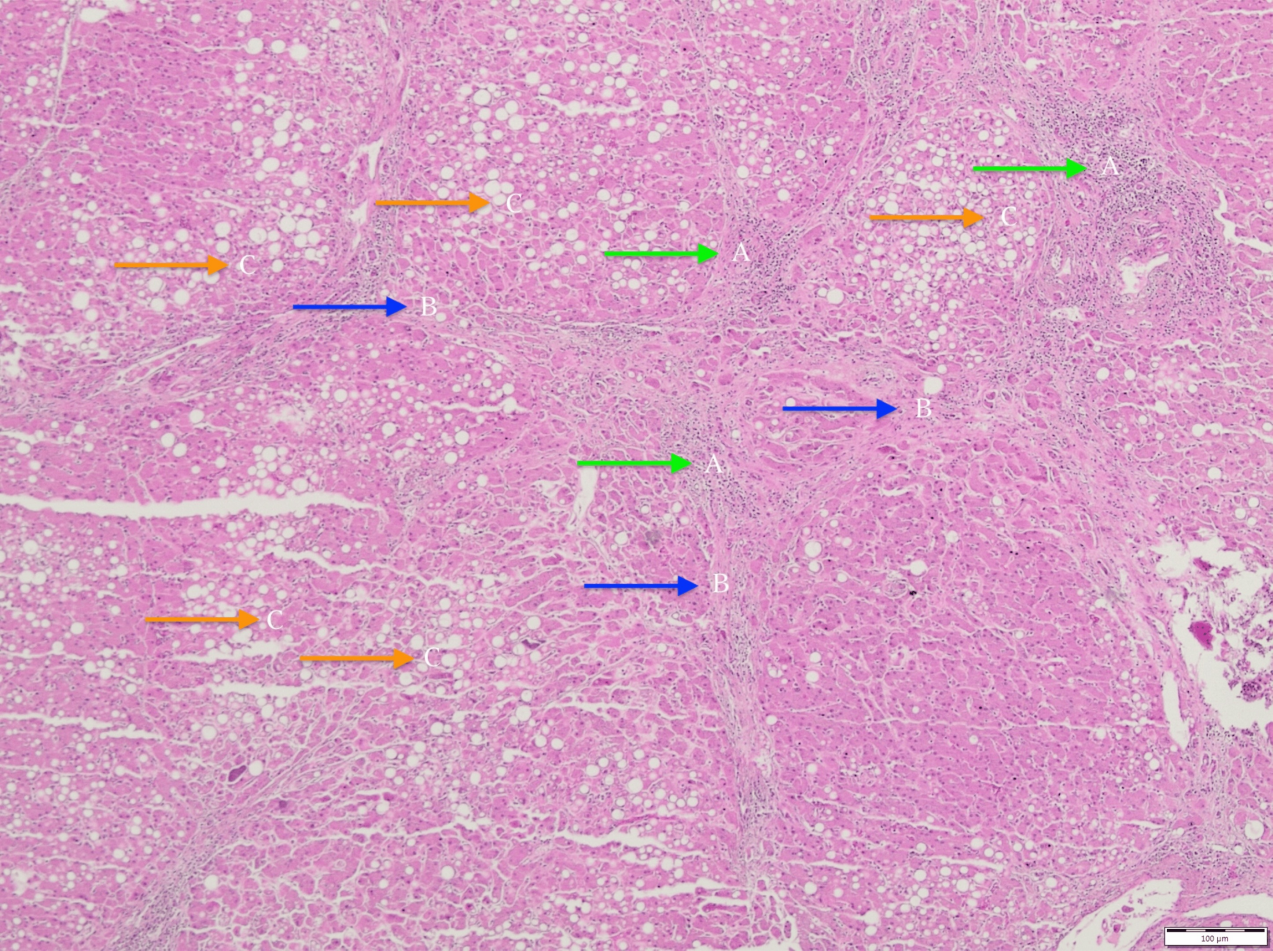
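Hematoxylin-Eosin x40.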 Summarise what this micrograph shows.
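Liver parenchyma is broken up into rounded nodules of hepatocytes by pale pink fibrous septa that link to one another. Clusters of small, dark-nucleated inflammatory cells gather within the septa.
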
